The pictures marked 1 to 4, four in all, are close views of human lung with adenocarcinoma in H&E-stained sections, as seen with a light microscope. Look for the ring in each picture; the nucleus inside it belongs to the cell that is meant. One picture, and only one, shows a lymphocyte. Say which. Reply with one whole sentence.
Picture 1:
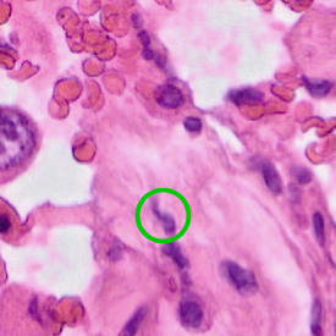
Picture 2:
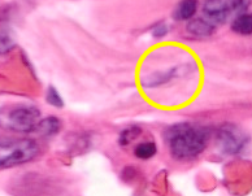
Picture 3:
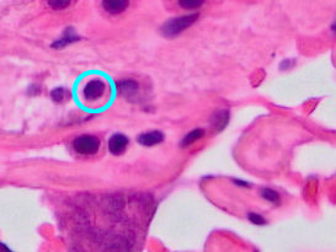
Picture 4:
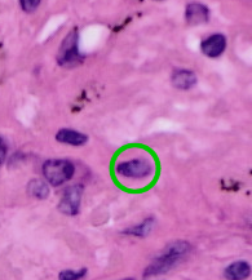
The cell in picture 3 is the lymphocyte.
